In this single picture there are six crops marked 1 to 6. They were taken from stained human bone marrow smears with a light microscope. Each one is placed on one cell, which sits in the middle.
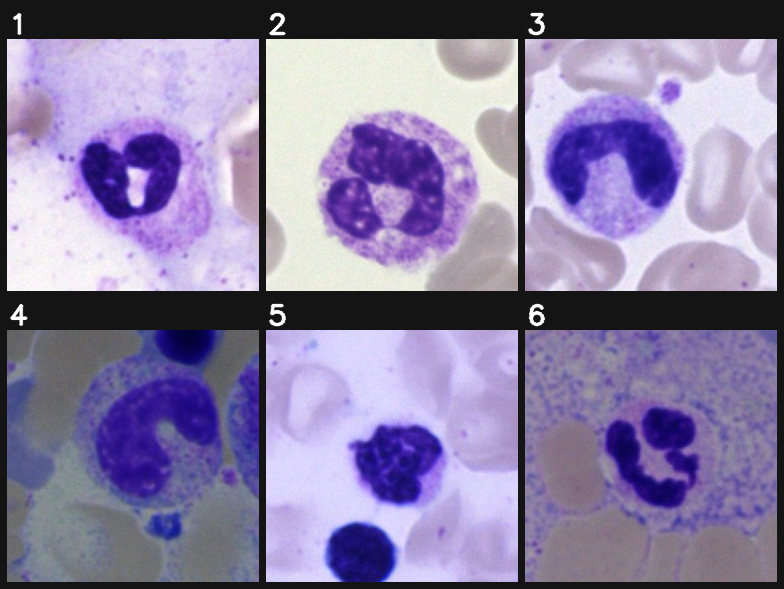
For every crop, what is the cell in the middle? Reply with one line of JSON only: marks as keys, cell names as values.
{"1": "segmented neutrophil", "2": "segmented neutrophil", "3": "band neutrophil", "4": "band neutrophil", "5": "segmented neutrophil", "6": "segmented neutrophil"}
